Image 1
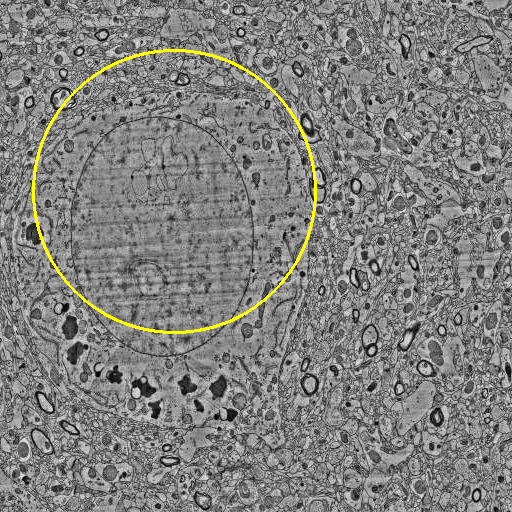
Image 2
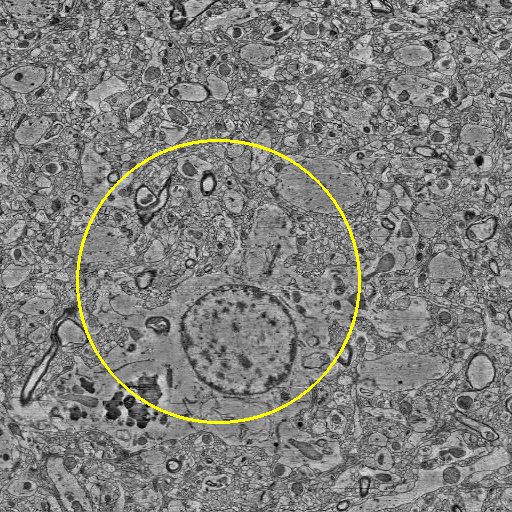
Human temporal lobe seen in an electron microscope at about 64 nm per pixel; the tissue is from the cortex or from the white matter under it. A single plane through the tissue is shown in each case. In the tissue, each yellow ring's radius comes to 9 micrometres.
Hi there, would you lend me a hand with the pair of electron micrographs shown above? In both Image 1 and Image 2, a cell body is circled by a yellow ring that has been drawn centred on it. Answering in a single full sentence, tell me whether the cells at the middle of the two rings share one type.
No, the ringed cells in Image 1 and Image 2 belong to two types.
